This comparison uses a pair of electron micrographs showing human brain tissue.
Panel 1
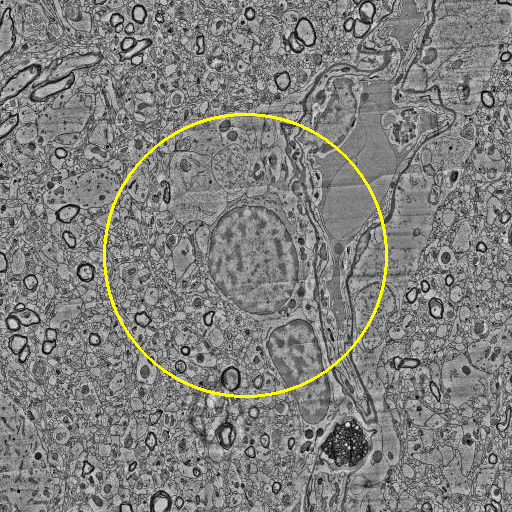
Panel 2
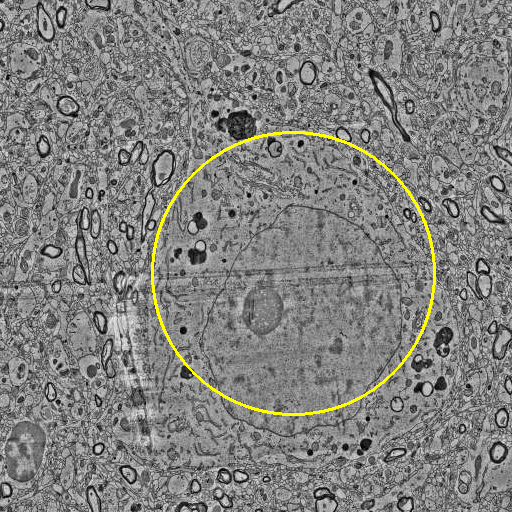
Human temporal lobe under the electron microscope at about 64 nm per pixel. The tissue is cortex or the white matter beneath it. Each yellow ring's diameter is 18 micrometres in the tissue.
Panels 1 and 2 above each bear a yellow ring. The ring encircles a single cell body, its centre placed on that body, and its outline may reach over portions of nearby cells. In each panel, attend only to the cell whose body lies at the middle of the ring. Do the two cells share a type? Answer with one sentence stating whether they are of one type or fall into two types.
In Panel 1 and Panel 2, the cells at the centres of the rings fall into two types.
